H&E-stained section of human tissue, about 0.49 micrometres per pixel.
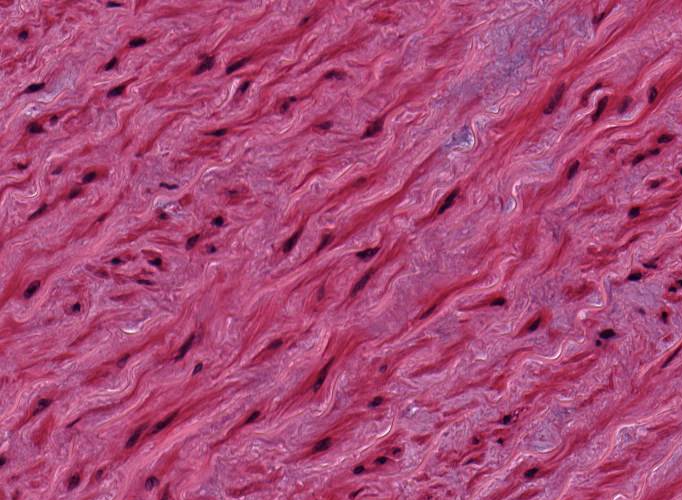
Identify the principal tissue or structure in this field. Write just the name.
tunica media of an artery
